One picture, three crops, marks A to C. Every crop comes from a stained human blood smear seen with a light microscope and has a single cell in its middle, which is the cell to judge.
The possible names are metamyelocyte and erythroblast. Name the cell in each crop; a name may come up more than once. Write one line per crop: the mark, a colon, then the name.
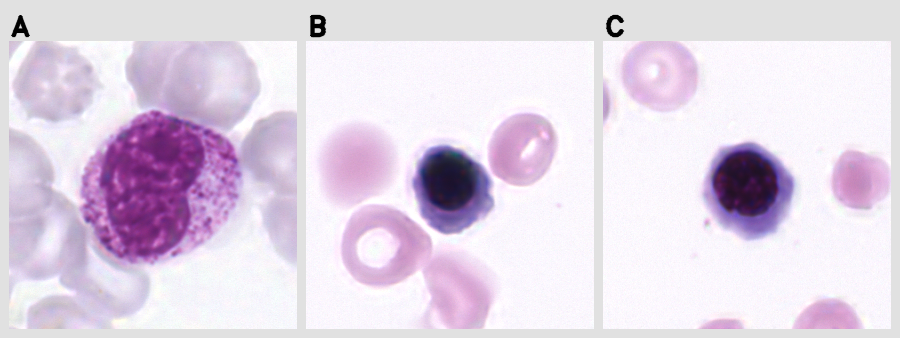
A: metamyelocyte
B: erythroblast
C: erythroblast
